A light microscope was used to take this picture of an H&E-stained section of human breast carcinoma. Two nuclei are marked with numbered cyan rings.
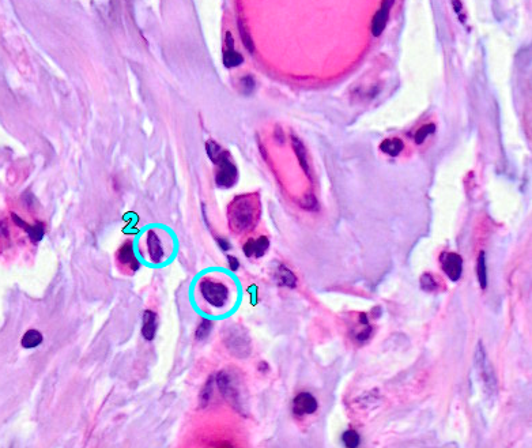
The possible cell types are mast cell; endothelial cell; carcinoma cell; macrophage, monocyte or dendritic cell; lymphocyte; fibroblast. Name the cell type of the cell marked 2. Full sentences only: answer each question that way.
Cell 2 should be recorded as a fibroblast.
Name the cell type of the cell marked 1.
The cell marked with the number 1 is a lymphocyte.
